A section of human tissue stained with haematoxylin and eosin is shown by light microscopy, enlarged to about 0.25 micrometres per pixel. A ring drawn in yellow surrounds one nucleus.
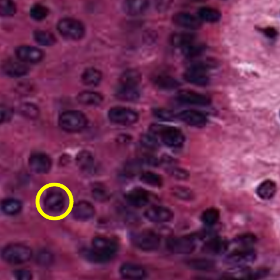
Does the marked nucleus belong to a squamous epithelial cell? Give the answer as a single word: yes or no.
yes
